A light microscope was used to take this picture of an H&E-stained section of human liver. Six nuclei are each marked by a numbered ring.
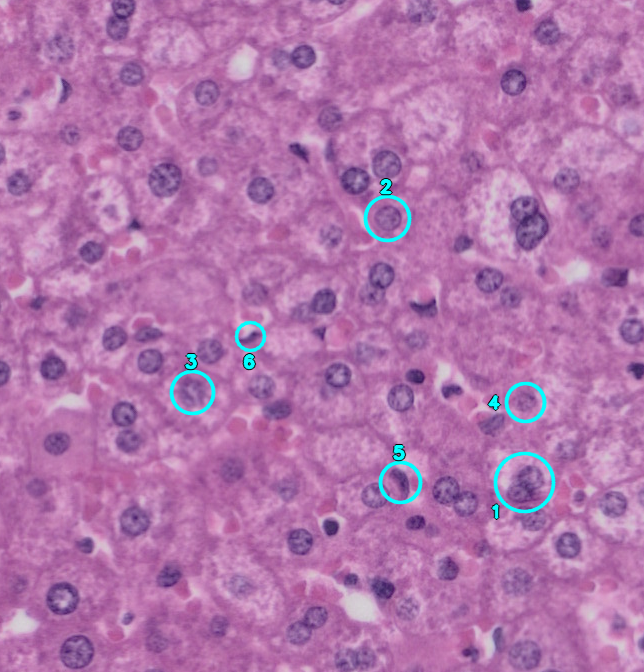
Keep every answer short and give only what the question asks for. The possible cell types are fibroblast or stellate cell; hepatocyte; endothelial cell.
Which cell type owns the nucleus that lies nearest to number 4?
endothelial cell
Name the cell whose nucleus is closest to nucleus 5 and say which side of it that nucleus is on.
a hepatocyte; below and to the left of nucleus 5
